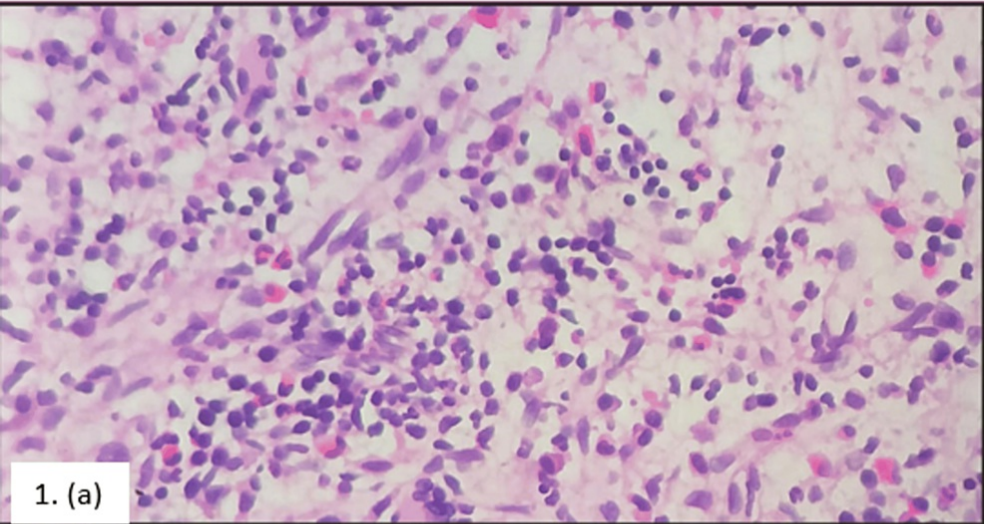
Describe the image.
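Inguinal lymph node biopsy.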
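Round cells with dense, dark purple nuclei and scant cytoplasm are spread across the field. They lie singly and in loose clusters rather than in orderly follicles. Some cells are larger, with paler or elongated nuclei. Spindle-shaped nuclei, probably from stromal or vessel-lining cells, run among them. Scattered cells with bright pink-red cytoplasm are also present. The background is pale pink and loose, almost airy. This gives a disorganized look, unlike normal nodal architecture.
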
